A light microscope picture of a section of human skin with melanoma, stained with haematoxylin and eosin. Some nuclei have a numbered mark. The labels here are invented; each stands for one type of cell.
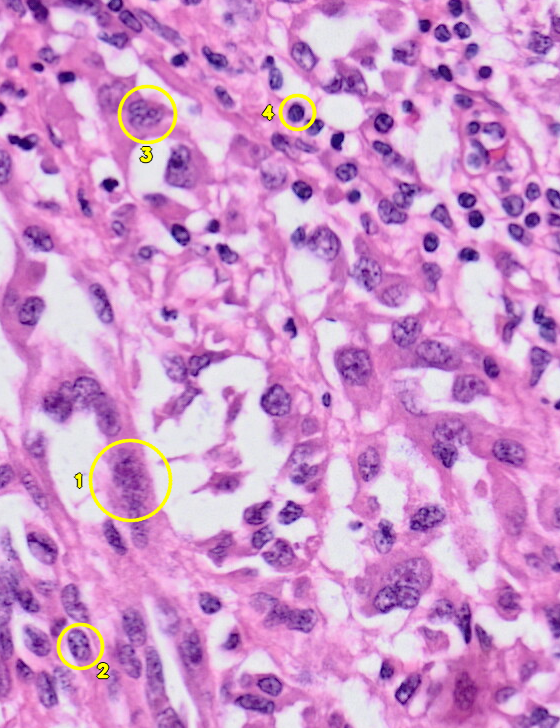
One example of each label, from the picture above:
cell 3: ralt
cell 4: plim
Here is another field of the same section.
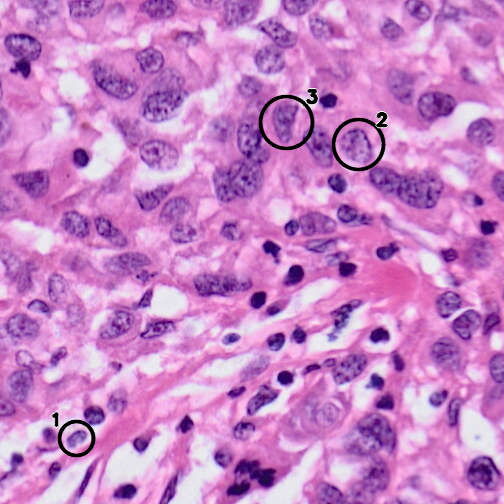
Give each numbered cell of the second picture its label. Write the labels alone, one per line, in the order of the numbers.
plim
ralt
ralt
